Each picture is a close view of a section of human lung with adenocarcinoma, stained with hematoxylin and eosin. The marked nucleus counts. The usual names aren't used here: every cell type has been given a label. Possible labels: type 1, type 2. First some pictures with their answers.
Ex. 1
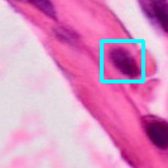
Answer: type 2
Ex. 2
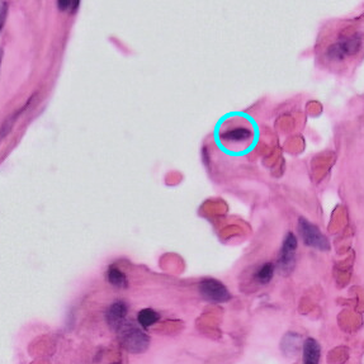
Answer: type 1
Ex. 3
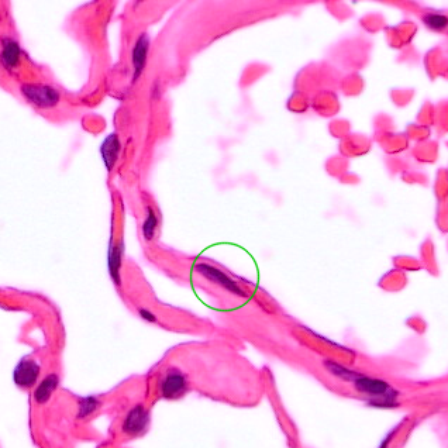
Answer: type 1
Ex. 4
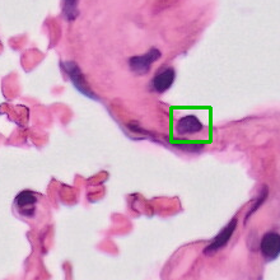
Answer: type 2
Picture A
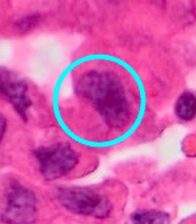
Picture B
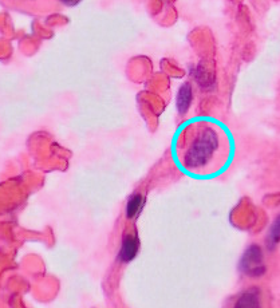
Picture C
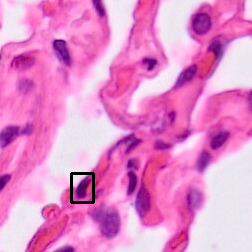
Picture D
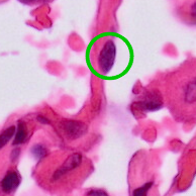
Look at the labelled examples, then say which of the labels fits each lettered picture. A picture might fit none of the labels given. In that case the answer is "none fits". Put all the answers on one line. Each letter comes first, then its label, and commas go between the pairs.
A none fits, B type 2, C type 1, D type 2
